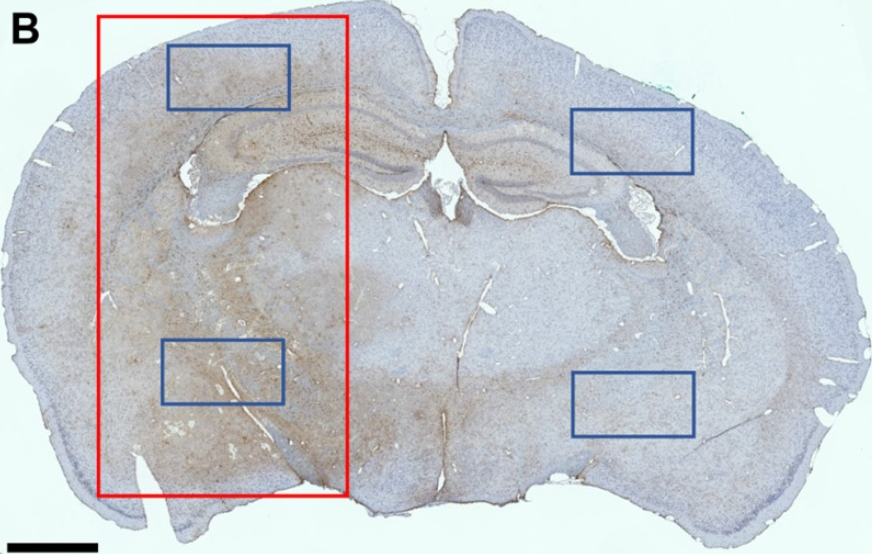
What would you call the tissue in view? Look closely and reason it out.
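Brain. A whole coronal section with two mirror-image halves joined at a midline cleft. Curved banded layers of a hippocampus-like structure under the outer mantle. Slit-like cavities near the midline.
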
